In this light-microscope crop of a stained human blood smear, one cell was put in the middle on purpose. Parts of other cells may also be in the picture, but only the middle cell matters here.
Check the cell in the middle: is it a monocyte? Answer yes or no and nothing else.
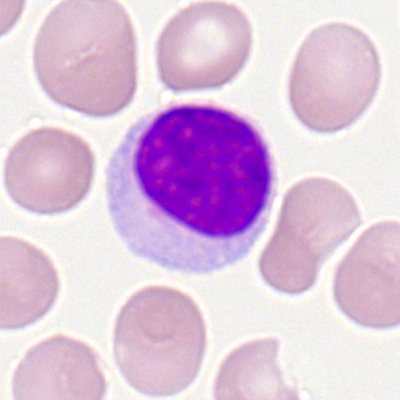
no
